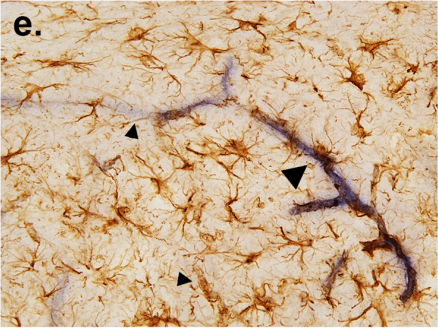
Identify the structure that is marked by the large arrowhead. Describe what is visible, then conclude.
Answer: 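The large arrowhead points to a long branching tubular structure. The tube is stained dark blue-purple with brown overlapping it.
Hence: blood vessels.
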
